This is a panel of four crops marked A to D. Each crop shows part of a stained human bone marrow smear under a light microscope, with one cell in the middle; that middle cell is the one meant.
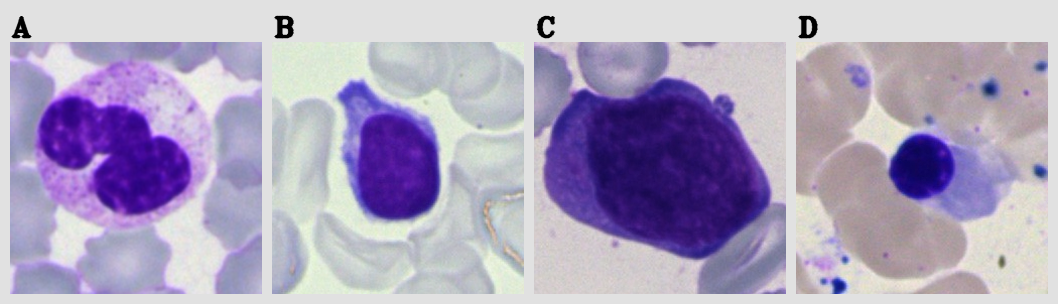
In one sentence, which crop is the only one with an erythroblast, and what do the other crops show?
Crop D comes out as an erythroblast, while crop A is a segmented neutrophil, crop B is a lymphocyte and crop C is a blast.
